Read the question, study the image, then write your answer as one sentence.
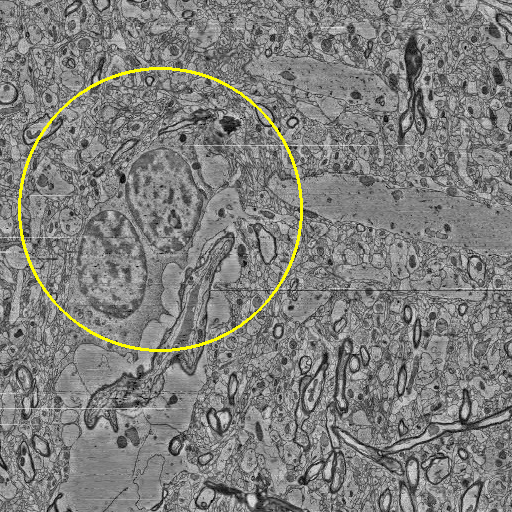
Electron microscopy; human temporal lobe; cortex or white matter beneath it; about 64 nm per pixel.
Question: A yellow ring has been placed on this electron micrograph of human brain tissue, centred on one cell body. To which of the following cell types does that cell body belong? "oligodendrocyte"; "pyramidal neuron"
That cell body belongs to an oligodendrocyte.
